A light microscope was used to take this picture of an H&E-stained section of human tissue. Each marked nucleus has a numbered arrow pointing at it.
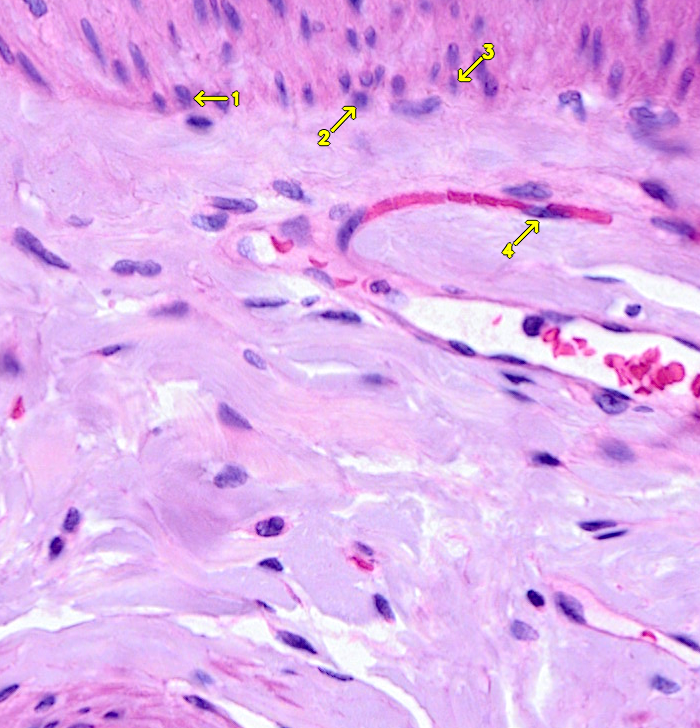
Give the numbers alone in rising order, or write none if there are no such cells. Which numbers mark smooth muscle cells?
1, 2, 3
